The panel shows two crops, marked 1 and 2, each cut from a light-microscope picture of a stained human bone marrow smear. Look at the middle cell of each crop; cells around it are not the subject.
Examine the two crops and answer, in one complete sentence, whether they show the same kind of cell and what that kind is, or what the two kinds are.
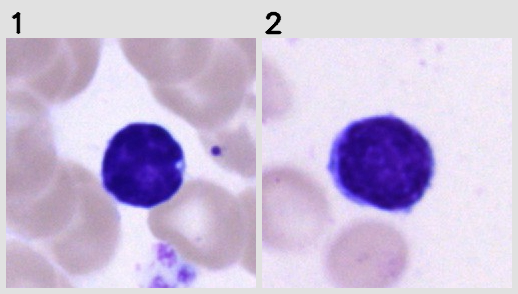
Yes, in both crops the centred cells are lymphocytes.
